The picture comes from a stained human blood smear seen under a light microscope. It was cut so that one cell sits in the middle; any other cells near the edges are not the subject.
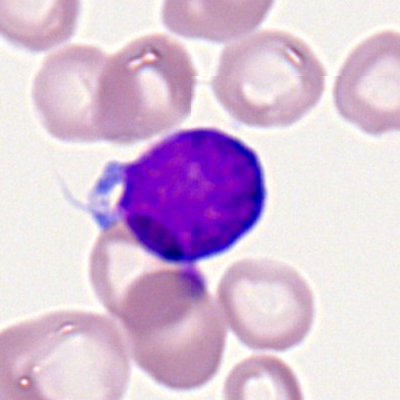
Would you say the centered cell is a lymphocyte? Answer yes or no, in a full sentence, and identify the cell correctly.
No, the central cell is not to be called a lymphocyte, being a blast.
